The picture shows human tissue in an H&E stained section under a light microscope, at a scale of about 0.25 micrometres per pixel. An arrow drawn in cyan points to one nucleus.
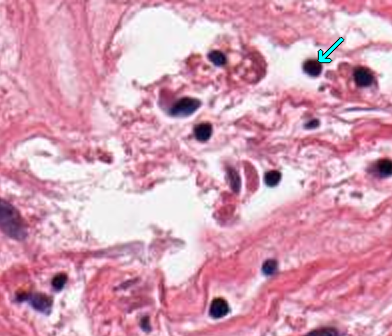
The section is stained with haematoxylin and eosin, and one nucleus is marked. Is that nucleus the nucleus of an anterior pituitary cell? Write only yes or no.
no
